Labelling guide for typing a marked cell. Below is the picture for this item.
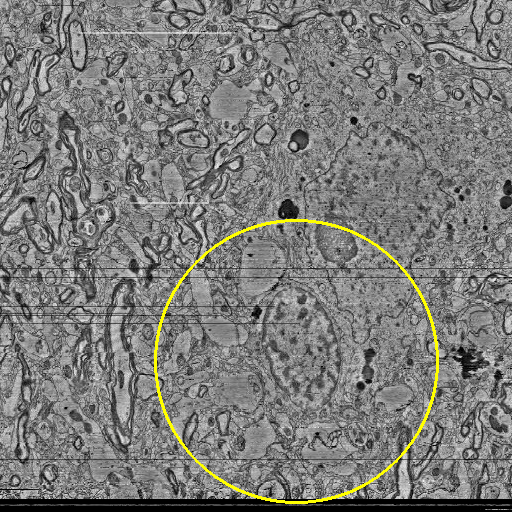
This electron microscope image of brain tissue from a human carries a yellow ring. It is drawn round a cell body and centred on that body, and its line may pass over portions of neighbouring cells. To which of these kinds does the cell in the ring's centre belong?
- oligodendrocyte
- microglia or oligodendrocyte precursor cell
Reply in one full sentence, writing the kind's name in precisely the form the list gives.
Here we have an oligodendrocyte at the centre of the yellow ring in the picture.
